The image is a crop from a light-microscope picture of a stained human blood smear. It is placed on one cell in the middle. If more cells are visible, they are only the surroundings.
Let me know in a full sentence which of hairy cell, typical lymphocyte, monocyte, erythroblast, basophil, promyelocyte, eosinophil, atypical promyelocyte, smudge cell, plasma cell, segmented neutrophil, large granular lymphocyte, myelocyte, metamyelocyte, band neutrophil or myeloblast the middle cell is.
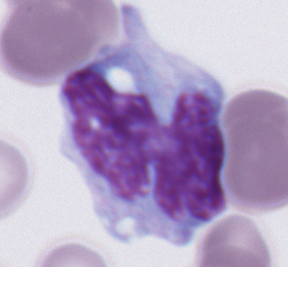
The central cell shown in this smear crop is a monocyte.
